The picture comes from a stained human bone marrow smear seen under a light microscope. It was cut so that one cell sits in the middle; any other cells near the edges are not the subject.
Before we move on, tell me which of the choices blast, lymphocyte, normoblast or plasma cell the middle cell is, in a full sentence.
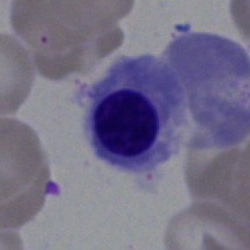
The cell that lies at the centre of the crop is a normoblast.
